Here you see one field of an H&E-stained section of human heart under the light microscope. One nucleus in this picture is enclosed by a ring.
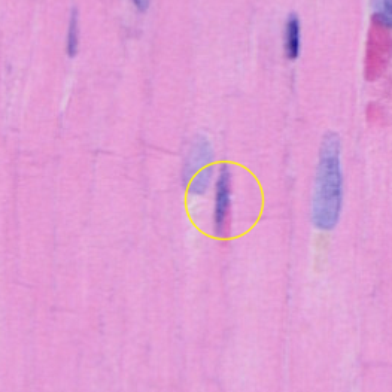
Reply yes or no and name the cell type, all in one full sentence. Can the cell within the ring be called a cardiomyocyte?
No, far from being a cardiomyocyte, the cell within the ring is an endothelial cell.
